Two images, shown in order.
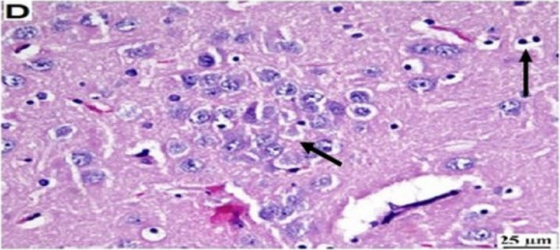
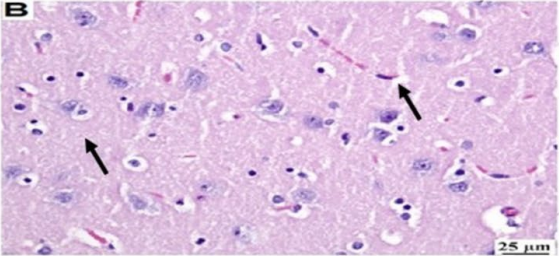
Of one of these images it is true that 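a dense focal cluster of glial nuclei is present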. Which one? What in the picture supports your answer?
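First image: a tight crowd of many nuclei fills the centre of the field. Second image: nuclei are scattered evenly in the neuropil with no cluster. The answer: the first image.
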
